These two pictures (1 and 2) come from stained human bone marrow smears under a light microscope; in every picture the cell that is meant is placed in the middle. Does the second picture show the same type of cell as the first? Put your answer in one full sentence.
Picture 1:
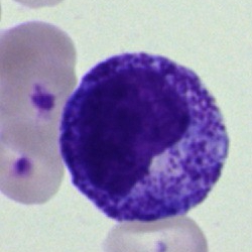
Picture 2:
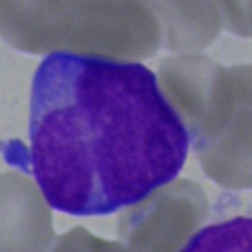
No, the types are not the same, since picture 1 shows a promyelocyte and picture 2 a blast.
